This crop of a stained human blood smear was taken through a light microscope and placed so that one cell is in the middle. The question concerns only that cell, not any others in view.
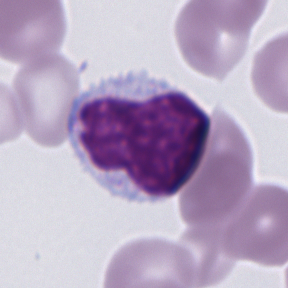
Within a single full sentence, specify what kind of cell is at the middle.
The cell of interest, in the center, is a large granular lymphocyte.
